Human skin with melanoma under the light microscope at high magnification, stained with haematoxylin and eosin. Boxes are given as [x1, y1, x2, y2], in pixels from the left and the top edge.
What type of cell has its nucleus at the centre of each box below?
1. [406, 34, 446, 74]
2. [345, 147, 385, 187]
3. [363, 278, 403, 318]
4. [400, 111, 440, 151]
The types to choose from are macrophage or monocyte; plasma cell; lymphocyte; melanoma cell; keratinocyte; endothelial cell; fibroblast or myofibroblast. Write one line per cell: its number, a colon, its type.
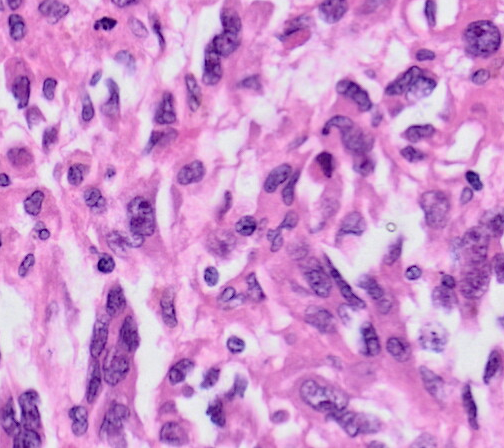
1: macrophage or monocyte
2: melanoma cell
3: melanoma cell
4: melanoma cell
